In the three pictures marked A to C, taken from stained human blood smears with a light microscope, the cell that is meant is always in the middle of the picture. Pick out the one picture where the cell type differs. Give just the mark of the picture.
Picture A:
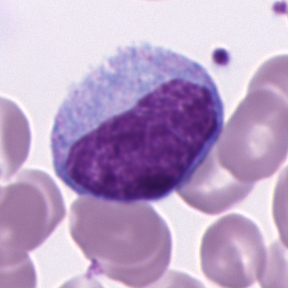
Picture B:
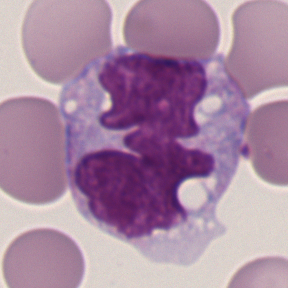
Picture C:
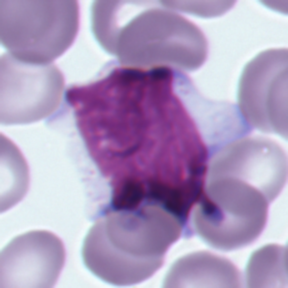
C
